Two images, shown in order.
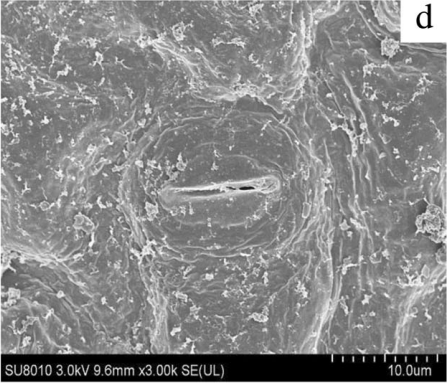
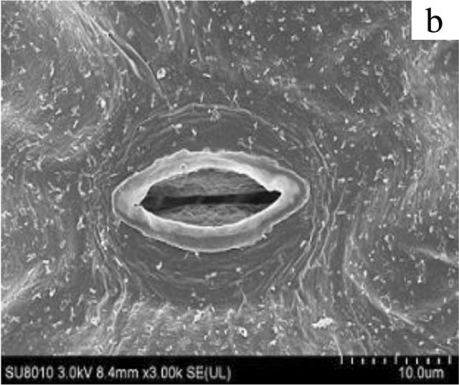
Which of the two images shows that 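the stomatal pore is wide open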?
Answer: The second image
